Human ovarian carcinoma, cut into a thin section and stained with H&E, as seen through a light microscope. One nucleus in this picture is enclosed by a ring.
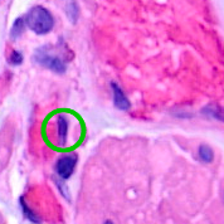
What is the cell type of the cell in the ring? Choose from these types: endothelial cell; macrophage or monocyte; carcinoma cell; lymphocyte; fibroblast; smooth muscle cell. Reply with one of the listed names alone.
endothelial cell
